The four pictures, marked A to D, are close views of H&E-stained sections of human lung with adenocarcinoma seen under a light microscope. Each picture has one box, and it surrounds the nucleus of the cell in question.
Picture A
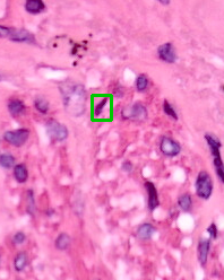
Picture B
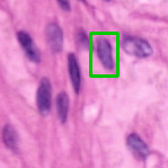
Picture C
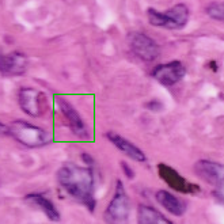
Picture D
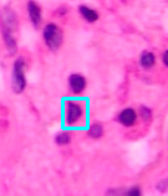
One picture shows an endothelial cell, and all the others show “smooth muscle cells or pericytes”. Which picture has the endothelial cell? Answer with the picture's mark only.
C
